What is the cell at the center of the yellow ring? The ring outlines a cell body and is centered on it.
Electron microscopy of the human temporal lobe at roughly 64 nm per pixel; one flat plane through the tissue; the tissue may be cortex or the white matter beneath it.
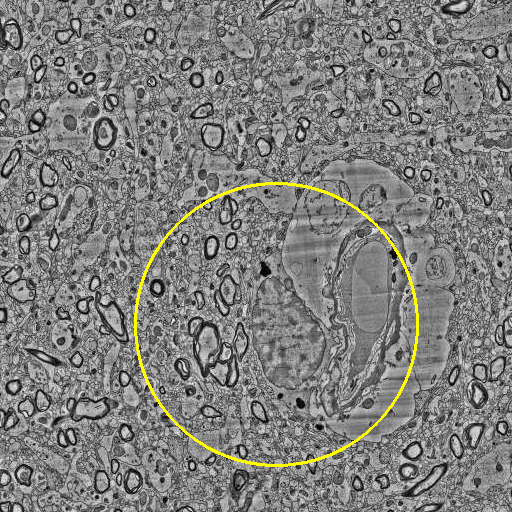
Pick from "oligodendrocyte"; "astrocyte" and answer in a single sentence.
The yellow ring is centered on an oligodendrocyte.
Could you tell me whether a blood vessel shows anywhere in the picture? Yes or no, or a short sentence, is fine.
Yes, a vessel appears in the picture.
